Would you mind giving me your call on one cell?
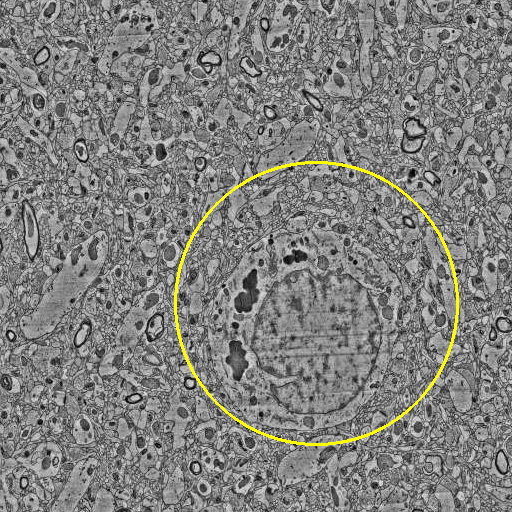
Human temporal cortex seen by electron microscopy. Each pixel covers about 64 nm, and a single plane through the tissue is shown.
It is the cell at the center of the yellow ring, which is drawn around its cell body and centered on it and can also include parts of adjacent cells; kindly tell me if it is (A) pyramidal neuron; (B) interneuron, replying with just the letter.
B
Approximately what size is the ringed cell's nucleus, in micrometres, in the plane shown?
About 9 by 8 micrometers, in this plane.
